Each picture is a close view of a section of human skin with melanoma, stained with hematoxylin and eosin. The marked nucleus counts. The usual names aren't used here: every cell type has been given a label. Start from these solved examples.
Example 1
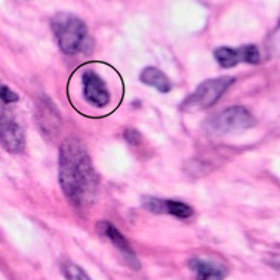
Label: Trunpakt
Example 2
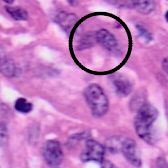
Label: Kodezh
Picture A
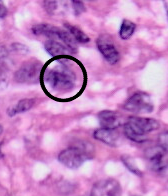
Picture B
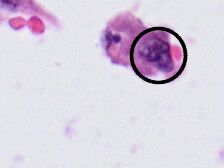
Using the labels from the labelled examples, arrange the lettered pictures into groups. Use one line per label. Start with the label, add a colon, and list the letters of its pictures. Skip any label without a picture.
Kodezh: A, B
